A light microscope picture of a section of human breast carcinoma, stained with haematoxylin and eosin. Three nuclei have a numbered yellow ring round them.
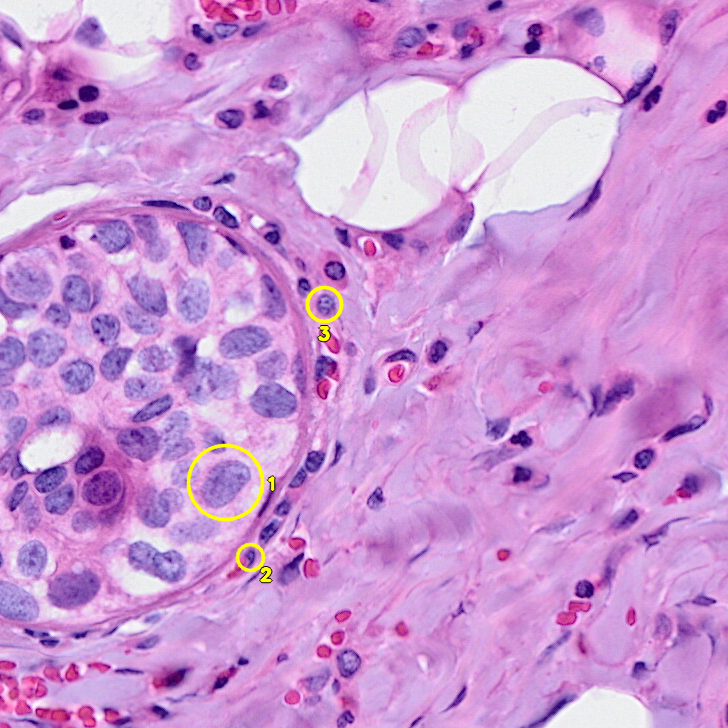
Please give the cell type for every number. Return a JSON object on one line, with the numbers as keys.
{"1": "carcinoma cell", "2": "endothelial cell", "3": "mast cell"}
